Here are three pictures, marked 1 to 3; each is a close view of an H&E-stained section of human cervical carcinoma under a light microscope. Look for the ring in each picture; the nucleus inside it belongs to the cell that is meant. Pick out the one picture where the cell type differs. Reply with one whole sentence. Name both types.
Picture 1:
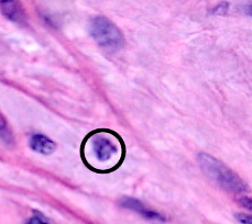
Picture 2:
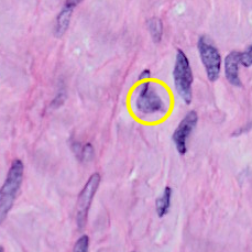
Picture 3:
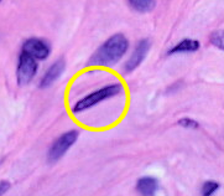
Picture 1 is the odd one out: it shows a lymphocyte, while the others show fibroblasts.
